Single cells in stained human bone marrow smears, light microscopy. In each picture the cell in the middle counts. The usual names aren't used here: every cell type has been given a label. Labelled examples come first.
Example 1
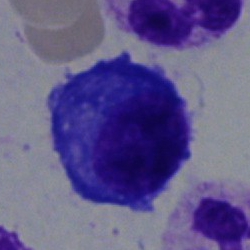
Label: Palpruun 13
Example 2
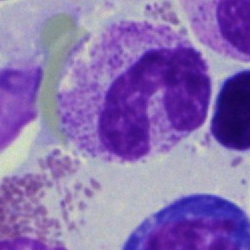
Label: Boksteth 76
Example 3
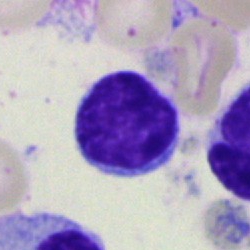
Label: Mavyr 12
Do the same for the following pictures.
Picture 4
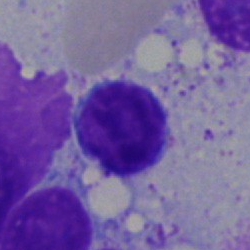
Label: Mavyr 12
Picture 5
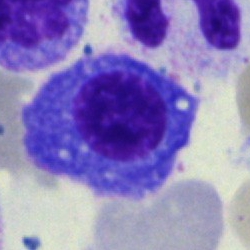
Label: Palpruun 13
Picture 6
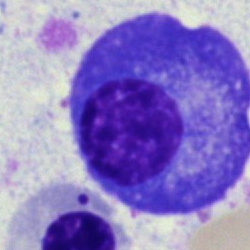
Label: Palpruun 13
